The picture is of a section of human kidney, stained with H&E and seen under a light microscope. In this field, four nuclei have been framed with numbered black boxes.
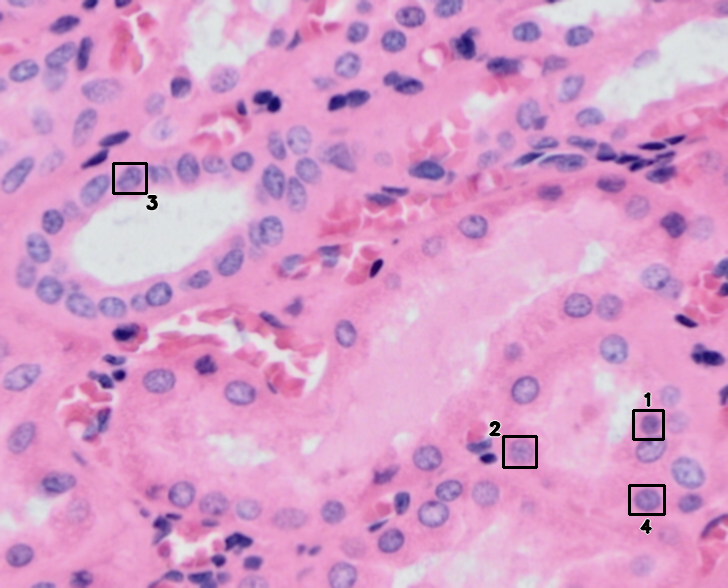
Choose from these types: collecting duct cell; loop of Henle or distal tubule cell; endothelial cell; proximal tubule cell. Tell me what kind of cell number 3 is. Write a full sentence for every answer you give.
The cell identified by number 3 is a collecting duct cell.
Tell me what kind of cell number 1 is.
The cell indicated by marker 1 is a proximal tubule cell in this section.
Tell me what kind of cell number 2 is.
The cell given label 2 is a proximal tubule cell.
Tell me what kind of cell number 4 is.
The cell that is numbered 4 is a proximal tubule cell.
